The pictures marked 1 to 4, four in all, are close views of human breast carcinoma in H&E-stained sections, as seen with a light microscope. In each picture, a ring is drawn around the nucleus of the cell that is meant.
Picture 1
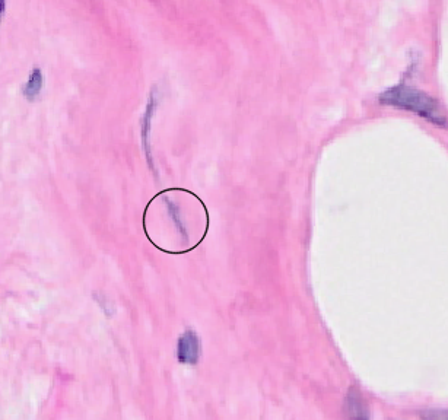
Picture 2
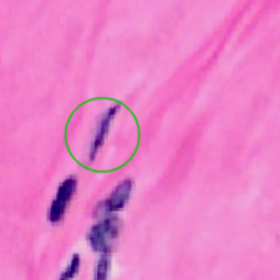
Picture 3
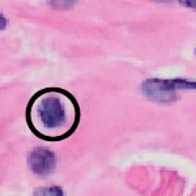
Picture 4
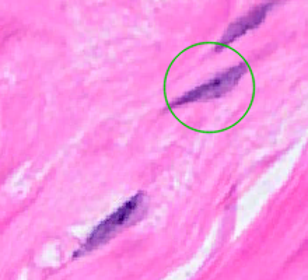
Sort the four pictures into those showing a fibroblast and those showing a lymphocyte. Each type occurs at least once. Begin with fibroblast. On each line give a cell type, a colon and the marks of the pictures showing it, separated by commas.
fibroblast: 1, 2, 4
lymphocyte: 3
